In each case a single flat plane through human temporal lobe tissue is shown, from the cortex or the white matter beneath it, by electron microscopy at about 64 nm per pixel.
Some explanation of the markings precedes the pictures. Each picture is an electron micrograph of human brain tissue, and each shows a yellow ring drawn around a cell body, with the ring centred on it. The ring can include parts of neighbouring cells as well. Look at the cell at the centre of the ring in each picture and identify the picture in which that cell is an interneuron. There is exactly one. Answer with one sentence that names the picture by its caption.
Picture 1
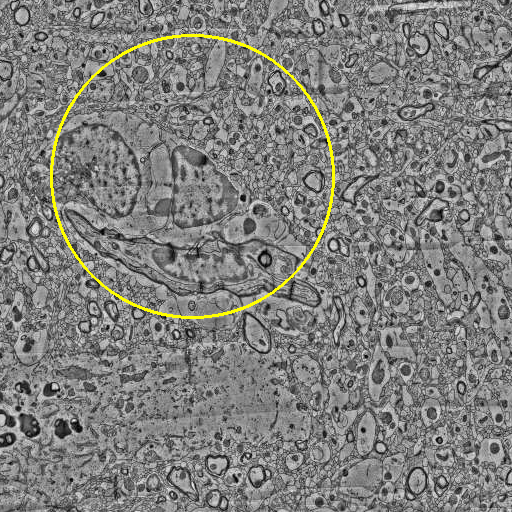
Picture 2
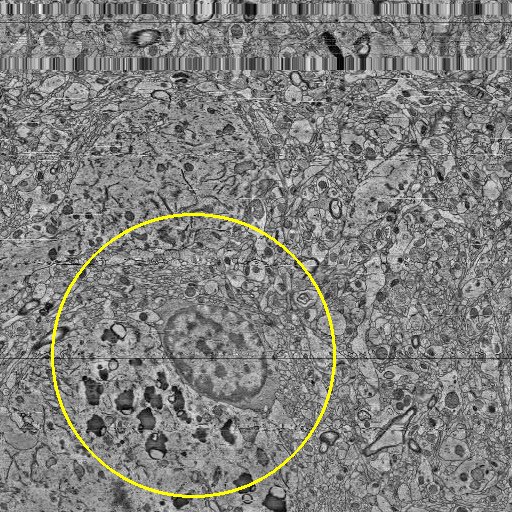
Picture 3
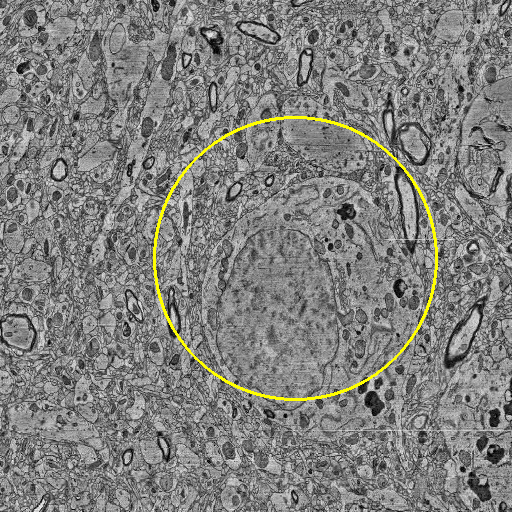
In Picture 3, the cell at the centre of the ring is of that kind.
